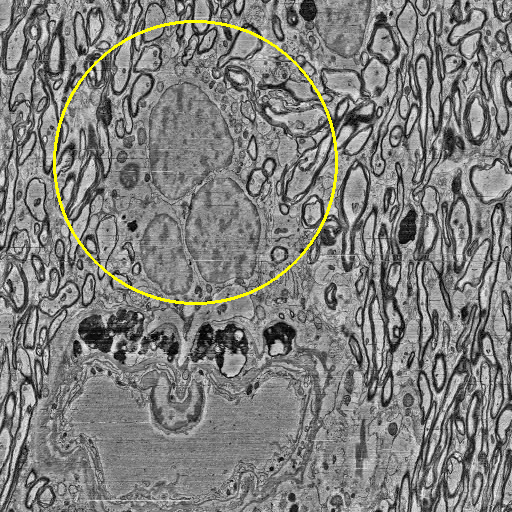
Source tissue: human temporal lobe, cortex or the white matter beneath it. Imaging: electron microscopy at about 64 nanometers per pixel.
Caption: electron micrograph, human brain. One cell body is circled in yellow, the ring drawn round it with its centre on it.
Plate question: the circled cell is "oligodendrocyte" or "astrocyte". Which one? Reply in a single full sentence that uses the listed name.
The yellow ring on the plate is centred on an oligodendrocyte, going by the listed names.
